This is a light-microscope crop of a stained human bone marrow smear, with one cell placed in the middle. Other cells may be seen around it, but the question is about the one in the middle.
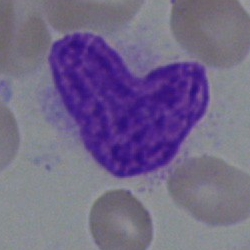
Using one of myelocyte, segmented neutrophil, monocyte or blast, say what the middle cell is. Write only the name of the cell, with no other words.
monocyte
